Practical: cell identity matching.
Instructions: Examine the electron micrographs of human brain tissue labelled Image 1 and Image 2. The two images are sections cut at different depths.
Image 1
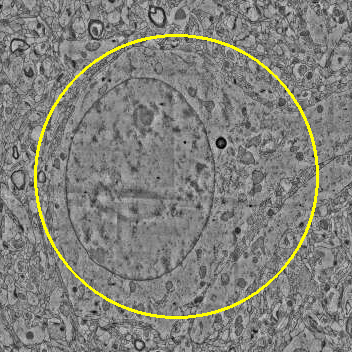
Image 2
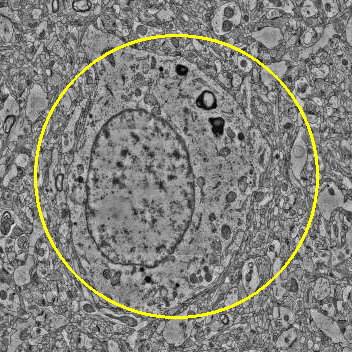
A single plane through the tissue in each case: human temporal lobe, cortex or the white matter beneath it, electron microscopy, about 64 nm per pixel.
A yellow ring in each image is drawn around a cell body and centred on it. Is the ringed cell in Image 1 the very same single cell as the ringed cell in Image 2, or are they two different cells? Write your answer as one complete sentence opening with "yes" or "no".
Yes, both yellow rings were placed on the same cell.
